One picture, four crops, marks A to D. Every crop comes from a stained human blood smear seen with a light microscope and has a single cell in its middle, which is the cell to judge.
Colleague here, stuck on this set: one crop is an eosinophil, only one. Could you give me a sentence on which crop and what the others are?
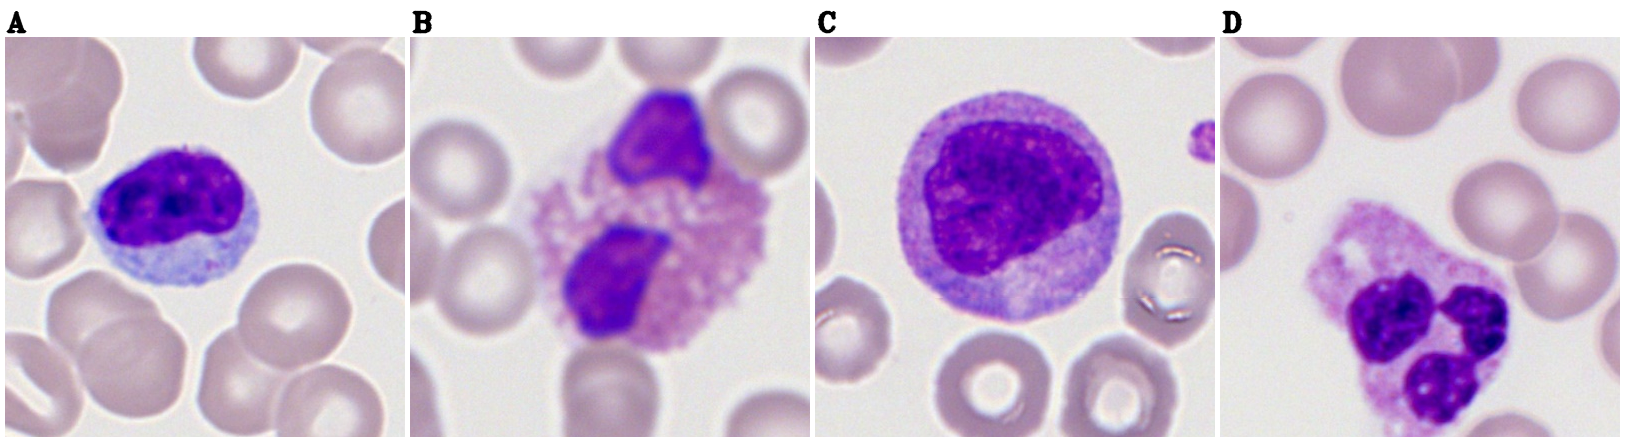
Crop B holds an eosinophil at its centre, while crop A is a lymphocyte, crop C is a monocyte and crop D is a segmented neutrophil.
